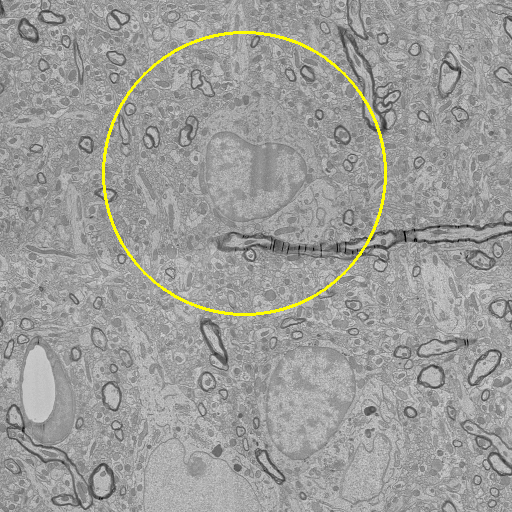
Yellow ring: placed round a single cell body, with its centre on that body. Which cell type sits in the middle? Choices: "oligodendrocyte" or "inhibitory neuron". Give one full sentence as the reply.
It is an oligodendrocyte whose cell body sits at the centre of the yellow ring.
